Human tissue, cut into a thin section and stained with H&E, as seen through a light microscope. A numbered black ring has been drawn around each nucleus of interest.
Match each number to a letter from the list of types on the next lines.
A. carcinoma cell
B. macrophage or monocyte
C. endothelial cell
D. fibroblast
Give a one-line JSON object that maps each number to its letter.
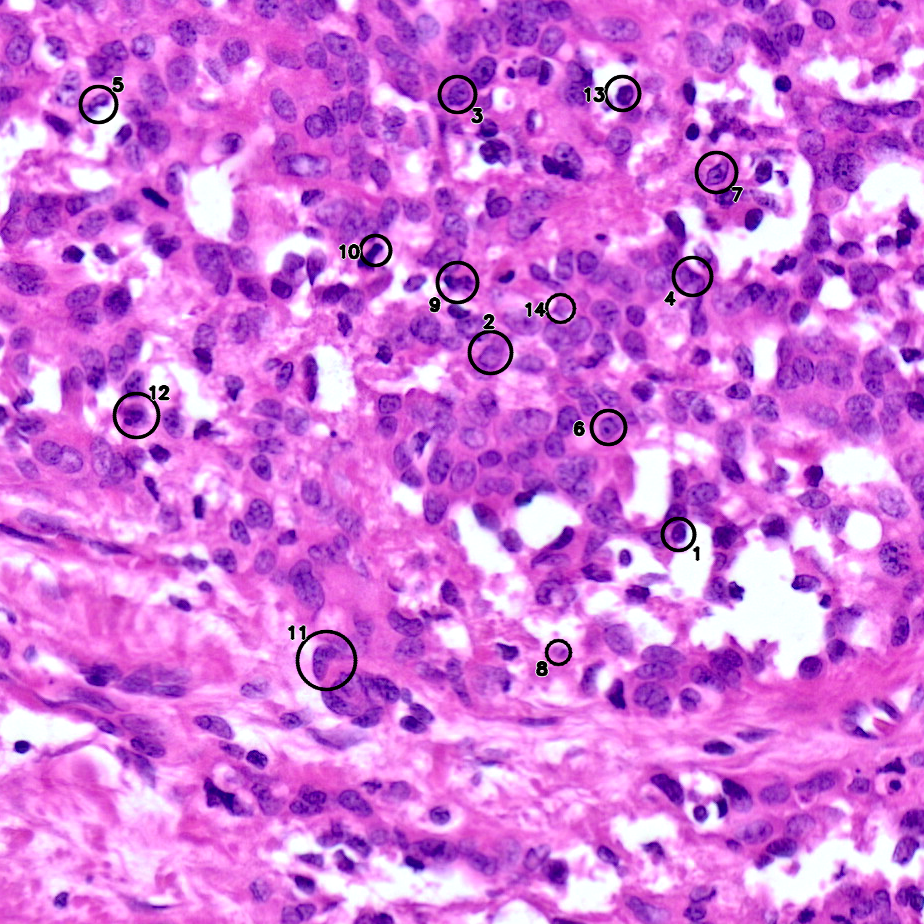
{"1": "A", "2": "A", "3": "A", "4": "A", "5": "B", "6": "B", "7": "B", "8": "B", "9": "A", "10": "A", "11": "C", "12": "B", "13": "A", "14": "A"}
